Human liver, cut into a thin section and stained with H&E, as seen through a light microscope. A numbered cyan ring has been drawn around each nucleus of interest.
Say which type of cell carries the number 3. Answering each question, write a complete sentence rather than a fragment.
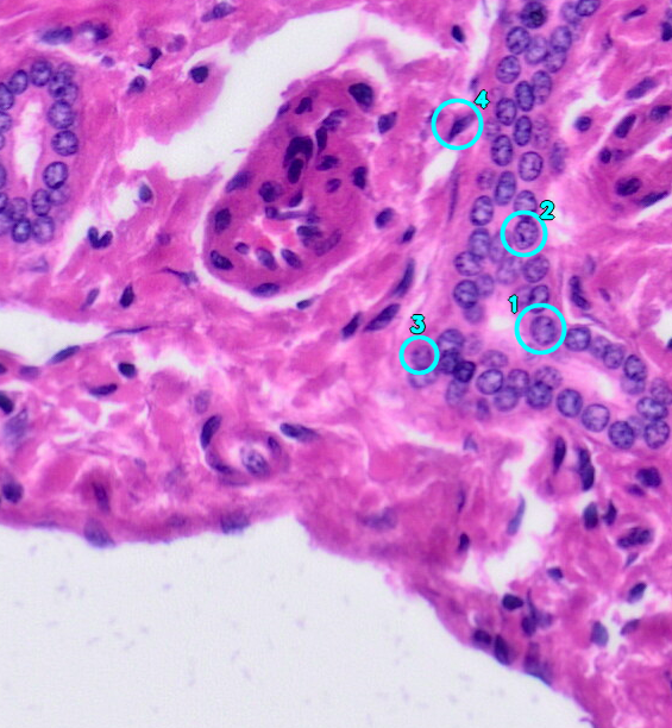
The cell that is numbered 3 is a cholangiocyte.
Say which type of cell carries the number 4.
The numbered cell 4 in this field is a fibroblast or stellate cell.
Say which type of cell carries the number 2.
Of the numbered cells, the one labelled 2 is a cholangiocyte.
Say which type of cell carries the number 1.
The one numbered 1 among the marked cells is a cholangiocyte.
